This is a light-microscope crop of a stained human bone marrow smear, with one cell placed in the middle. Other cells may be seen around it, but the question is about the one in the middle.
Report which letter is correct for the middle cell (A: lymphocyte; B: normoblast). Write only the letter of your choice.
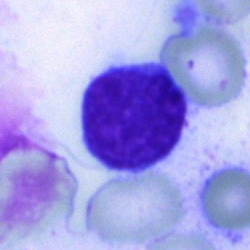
A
